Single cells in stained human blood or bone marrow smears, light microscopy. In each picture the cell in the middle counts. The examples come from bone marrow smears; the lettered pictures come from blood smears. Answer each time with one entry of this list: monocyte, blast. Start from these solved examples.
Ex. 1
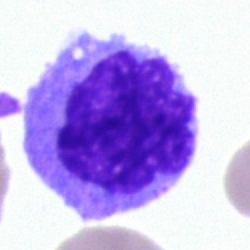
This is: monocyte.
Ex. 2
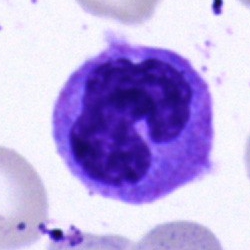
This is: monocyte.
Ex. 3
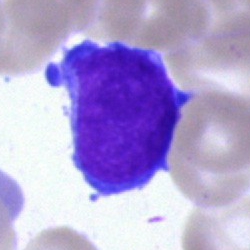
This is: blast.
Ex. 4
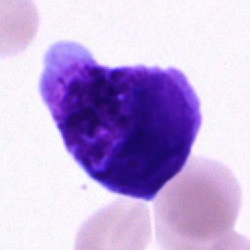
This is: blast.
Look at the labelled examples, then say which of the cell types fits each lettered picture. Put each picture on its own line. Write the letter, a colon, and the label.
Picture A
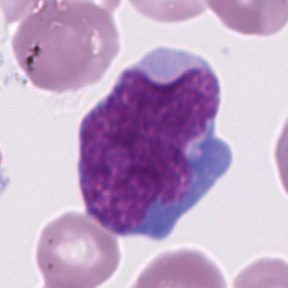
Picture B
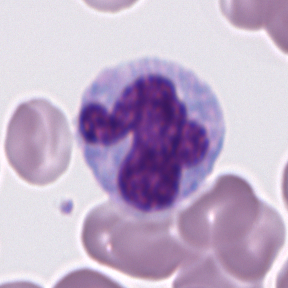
A: blast.
B: monocyte.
